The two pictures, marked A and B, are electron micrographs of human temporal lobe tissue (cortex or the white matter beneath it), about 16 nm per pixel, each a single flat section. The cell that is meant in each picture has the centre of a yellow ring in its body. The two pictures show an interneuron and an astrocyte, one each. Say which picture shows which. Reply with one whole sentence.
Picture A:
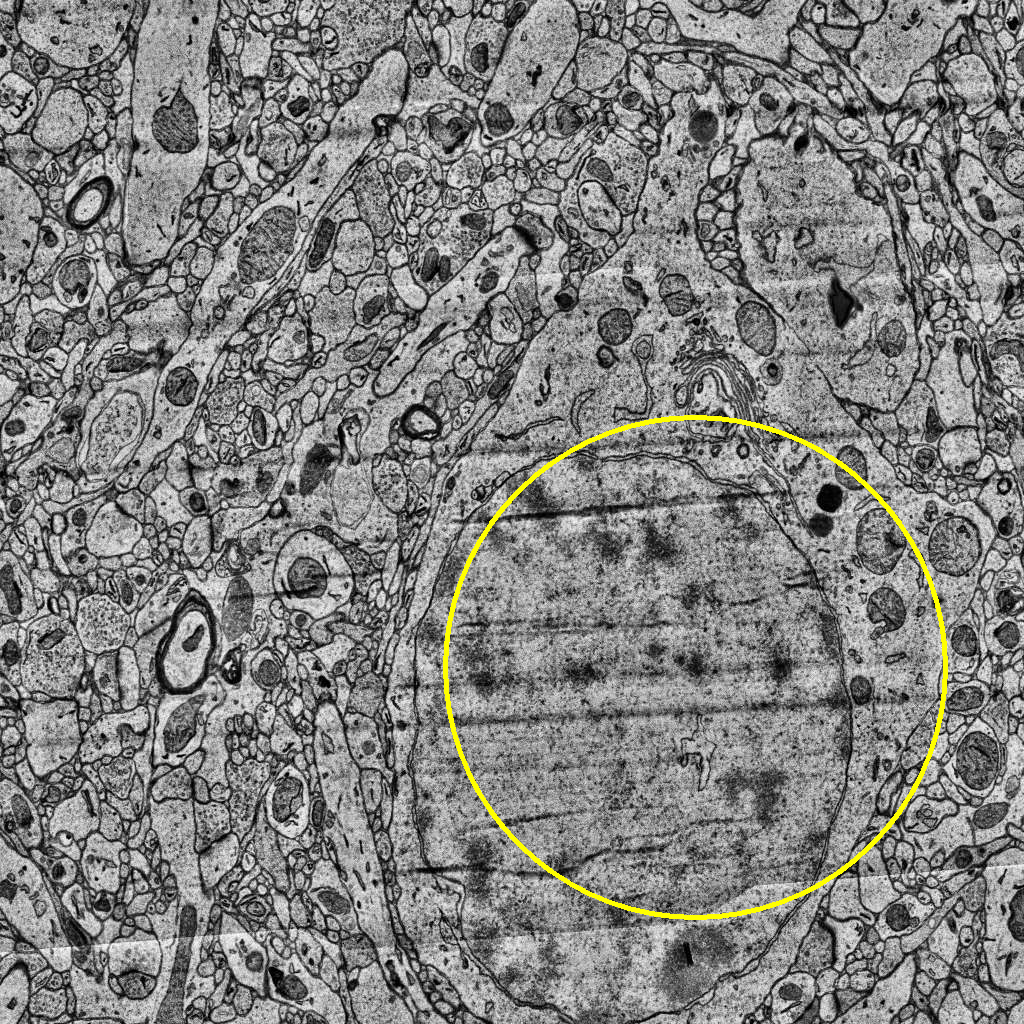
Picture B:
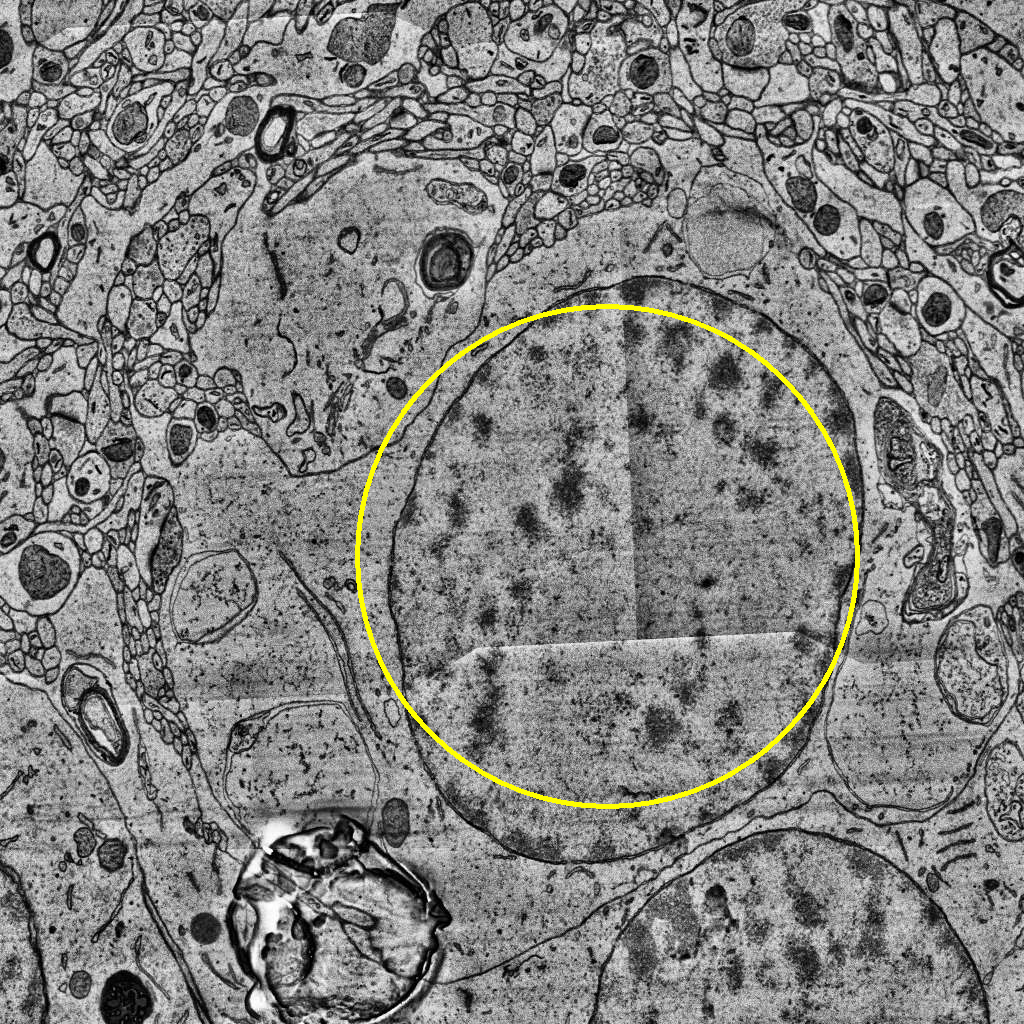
In picture A the cell is an interneuron; in picture B, an astrocyte.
